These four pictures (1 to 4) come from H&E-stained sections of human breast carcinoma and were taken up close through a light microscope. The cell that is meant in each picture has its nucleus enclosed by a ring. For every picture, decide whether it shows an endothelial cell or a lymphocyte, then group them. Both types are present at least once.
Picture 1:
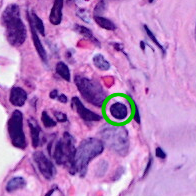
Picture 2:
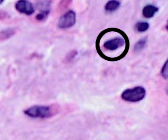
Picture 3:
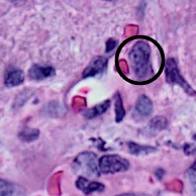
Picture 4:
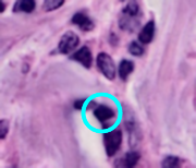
1: lymphocyte
2: lymphocyte
3: endothelial cell
4: lymphocyte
